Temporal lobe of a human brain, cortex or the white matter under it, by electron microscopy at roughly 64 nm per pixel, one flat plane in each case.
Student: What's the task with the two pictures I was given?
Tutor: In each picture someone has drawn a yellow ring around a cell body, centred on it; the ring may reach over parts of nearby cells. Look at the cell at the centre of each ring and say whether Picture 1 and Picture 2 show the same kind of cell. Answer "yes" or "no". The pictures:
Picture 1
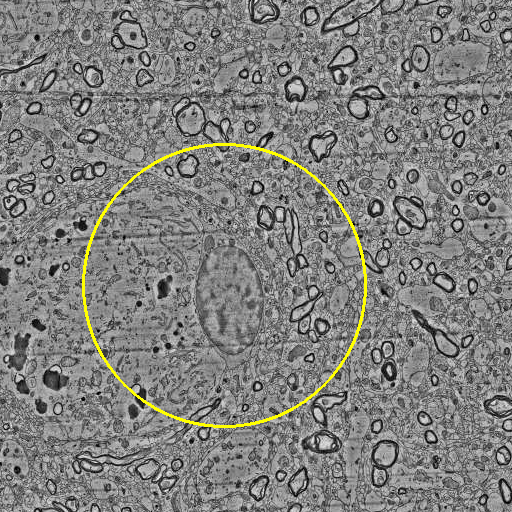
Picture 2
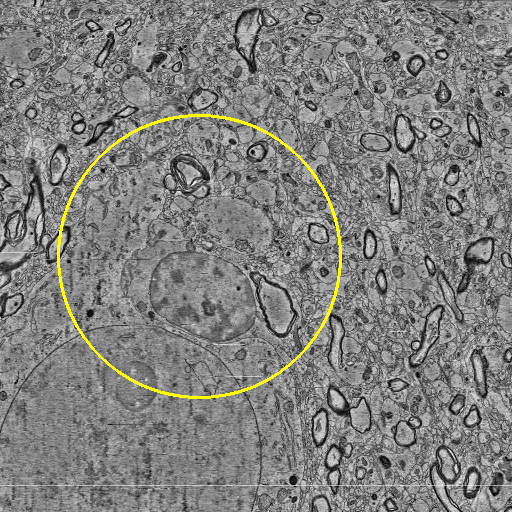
yes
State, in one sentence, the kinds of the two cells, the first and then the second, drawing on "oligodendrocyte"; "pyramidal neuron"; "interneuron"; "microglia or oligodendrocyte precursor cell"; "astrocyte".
Each of the two rings surrounds an oligodendrocyte.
